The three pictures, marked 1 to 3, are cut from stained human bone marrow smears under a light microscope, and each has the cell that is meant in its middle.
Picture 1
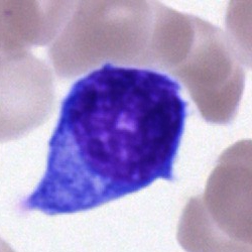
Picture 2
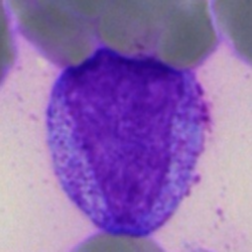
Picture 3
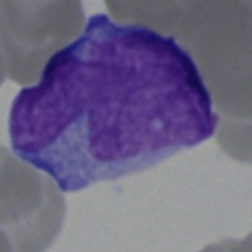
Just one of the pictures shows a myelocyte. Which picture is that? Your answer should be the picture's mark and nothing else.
2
